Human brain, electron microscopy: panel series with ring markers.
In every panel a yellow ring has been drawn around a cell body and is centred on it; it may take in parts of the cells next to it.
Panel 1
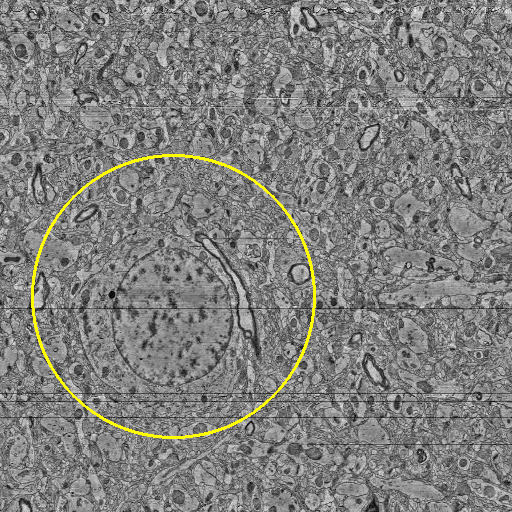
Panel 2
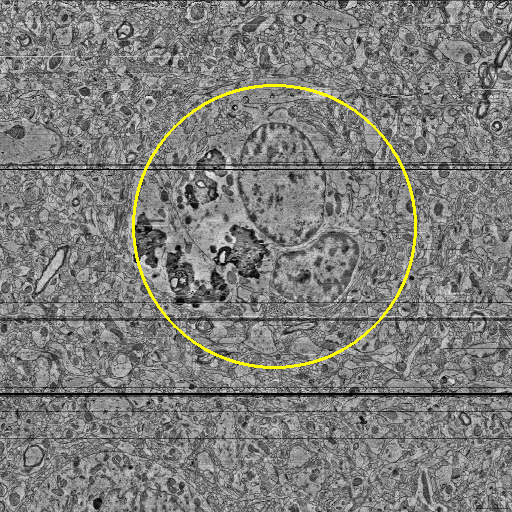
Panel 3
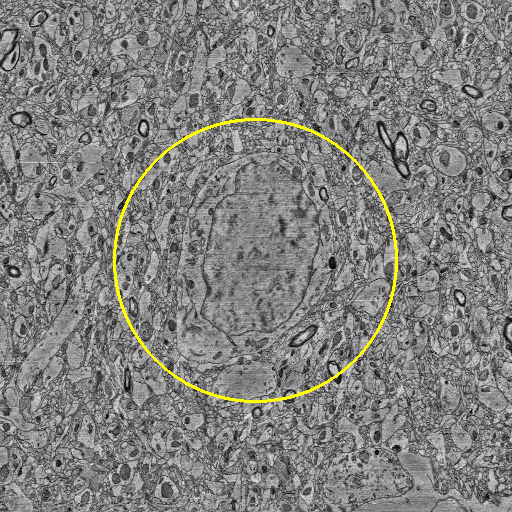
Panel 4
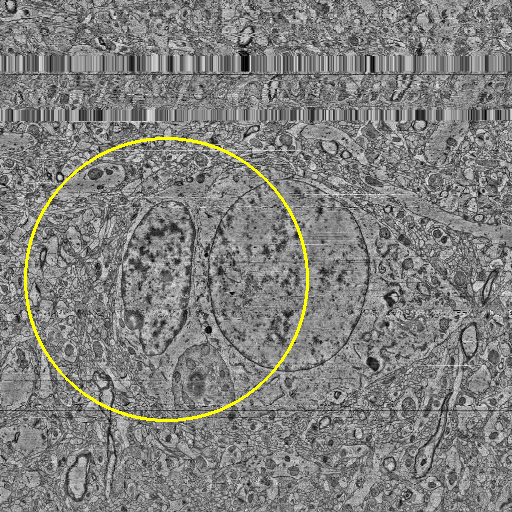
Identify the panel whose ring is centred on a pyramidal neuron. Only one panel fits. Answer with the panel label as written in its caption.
Panel 1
